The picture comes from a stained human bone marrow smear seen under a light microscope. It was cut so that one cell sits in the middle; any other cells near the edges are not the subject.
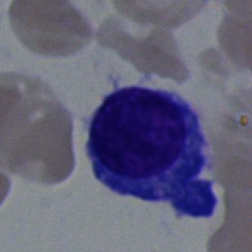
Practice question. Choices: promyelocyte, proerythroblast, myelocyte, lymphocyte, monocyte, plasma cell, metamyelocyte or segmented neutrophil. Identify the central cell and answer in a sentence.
Classified as a plasma cell is the cell in the middle of this crop.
